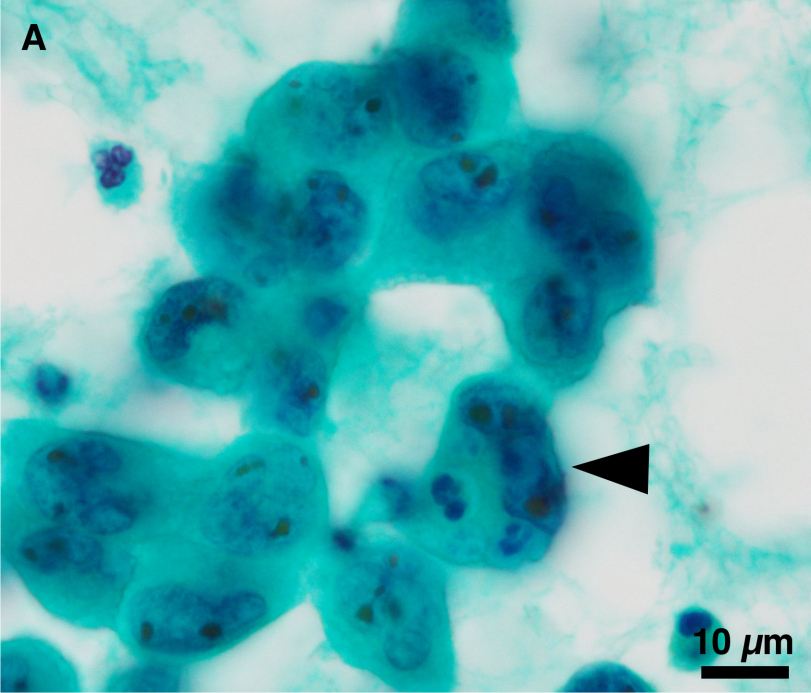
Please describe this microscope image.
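A cohesive cluster of atypical tumor cells is arranged loosely around a central clear space in a rosette-like pattern. The cells are large, with abundant, dense blue-green cytoplasm and indistinct cell borders. Nuclei are large, oval to irregular and vary in size and shape. One cell contains several unequal nuclear profiles. Many nuclei hold prominent dark, reddish-brown nucleoli. The background shows wispy pale green strands, and a few small dark cells lie at the edges of the cluster.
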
